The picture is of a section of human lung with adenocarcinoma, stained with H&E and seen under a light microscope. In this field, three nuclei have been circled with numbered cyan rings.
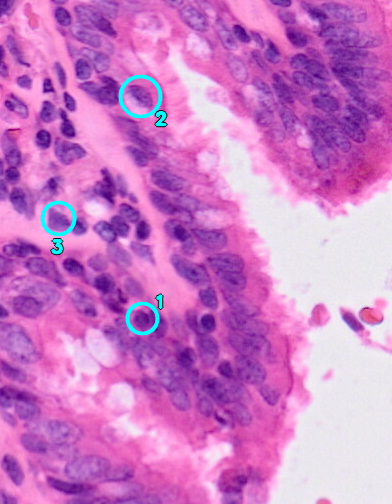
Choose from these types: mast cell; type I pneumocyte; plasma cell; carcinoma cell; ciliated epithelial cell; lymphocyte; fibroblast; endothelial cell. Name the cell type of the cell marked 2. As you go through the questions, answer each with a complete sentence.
Cell 2, as marked in the section, is a ciliated epithelial cell.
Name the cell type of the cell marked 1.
The cell pointed out by number 1 is a ciliated epithelial cell.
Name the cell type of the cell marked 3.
The nucleus labeled 3 belongs to a lymphocyte.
